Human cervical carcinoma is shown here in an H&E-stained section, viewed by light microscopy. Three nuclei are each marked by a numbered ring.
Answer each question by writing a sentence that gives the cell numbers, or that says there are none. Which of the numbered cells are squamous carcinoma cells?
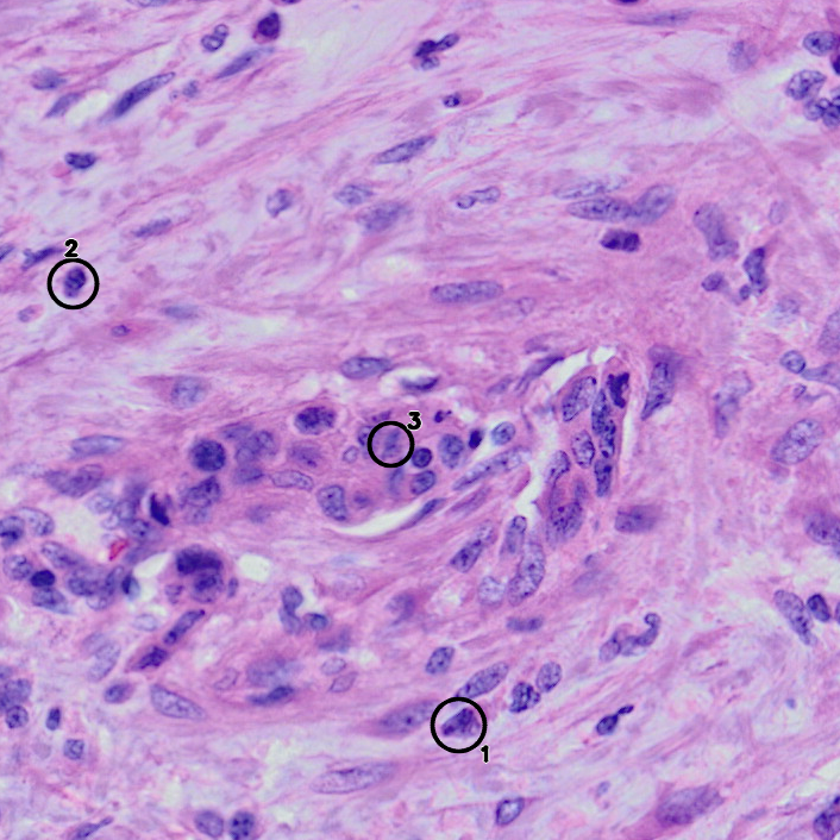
Only the cell numbered 3 is a squamous carcinoma cell, and the others are something else.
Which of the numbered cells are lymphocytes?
Of all the cells bearing numbers, cell 2 is the only one that is a lymphocyte.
